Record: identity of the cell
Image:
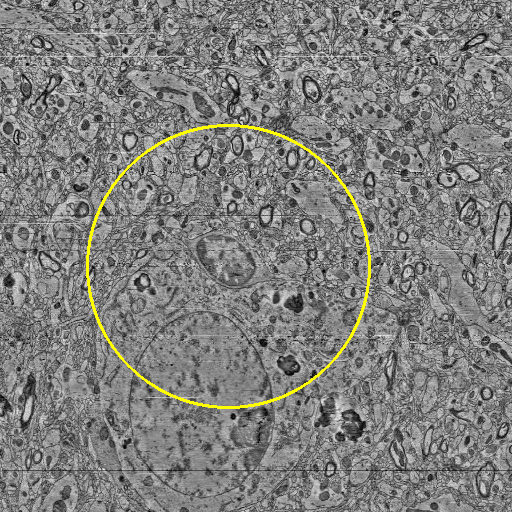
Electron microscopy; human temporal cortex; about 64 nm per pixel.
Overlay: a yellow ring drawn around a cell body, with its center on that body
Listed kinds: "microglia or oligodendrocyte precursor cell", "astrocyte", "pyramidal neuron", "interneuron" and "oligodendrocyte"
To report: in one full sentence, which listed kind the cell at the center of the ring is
In the image, the cell body at the ring's center belongs to an oligodendrocyte.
